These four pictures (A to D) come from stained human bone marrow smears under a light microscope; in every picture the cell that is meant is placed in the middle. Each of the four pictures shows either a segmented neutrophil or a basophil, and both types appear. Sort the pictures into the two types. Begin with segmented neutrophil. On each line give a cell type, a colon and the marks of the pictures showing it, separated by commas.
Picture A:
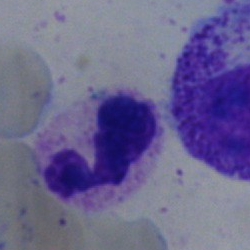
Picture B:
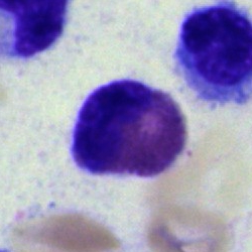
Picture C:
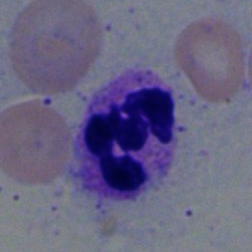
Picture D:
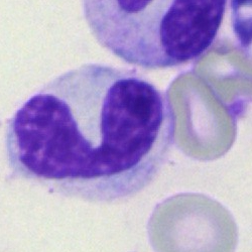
segmented neutrophil: A, C, D
basophil: B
